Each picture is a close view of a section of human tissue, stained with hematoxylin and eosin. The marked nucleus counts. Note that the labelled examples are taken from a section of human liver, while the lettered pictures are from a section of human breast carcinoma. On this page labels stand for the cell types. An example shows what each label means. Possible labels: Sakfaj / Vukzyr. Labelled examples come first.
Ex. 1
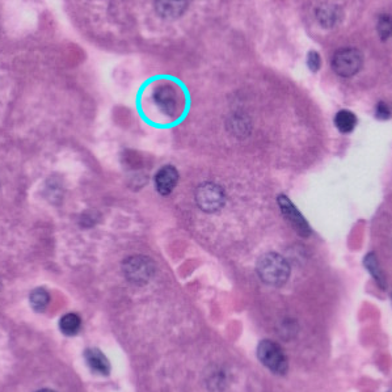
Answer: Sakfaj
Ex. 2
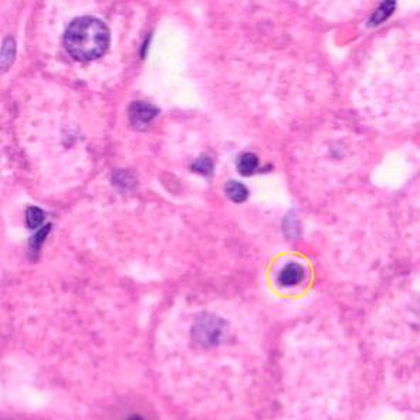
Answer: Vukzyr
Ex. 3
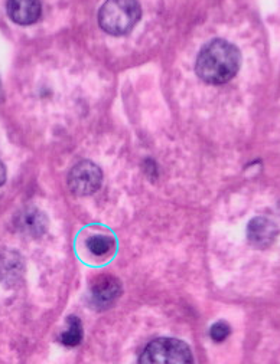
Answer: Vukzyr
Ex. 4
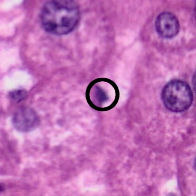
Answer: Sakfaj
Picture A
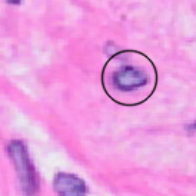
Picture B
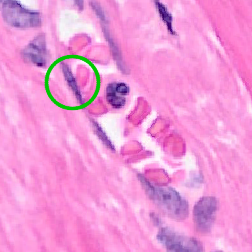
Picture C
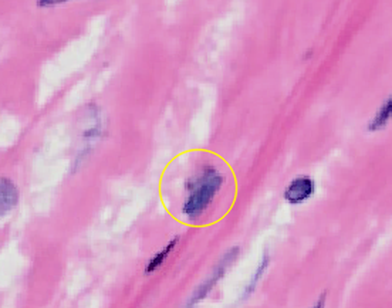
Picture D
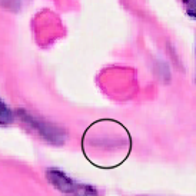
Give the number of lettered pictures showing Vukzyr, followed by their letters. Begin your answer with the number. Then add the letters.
Count: 1 (C)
